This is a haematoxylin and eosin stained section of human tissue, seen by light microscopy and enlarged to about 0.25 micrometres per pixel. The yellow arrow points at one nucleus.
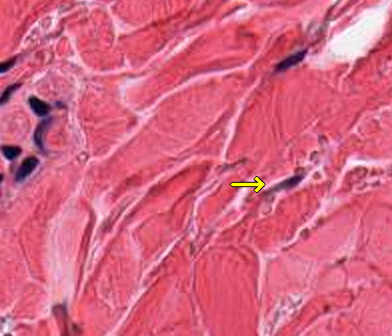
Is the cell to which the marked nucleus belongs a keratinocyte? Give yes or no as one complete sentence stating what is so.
No, the marked nucleus is not that of a keratinocyte but that of a supporting cell.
